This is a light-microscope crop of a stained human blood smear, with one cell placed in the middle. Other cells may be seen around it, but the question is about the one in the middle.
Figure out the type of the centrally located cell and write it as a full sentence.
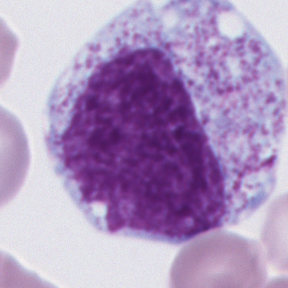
The cell found in the middle of this crop is a myelocyte.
